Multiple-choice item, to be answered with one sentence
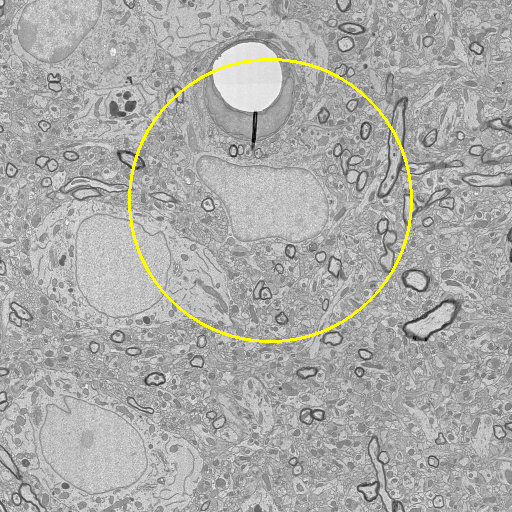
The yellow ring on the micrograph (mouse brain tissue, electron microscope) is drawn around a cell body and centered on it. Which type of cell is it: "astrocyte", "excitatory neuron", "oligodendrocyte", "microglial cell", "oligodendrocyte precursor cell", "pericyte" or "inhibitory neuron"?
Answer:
The ring is centered on an astrocyte.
